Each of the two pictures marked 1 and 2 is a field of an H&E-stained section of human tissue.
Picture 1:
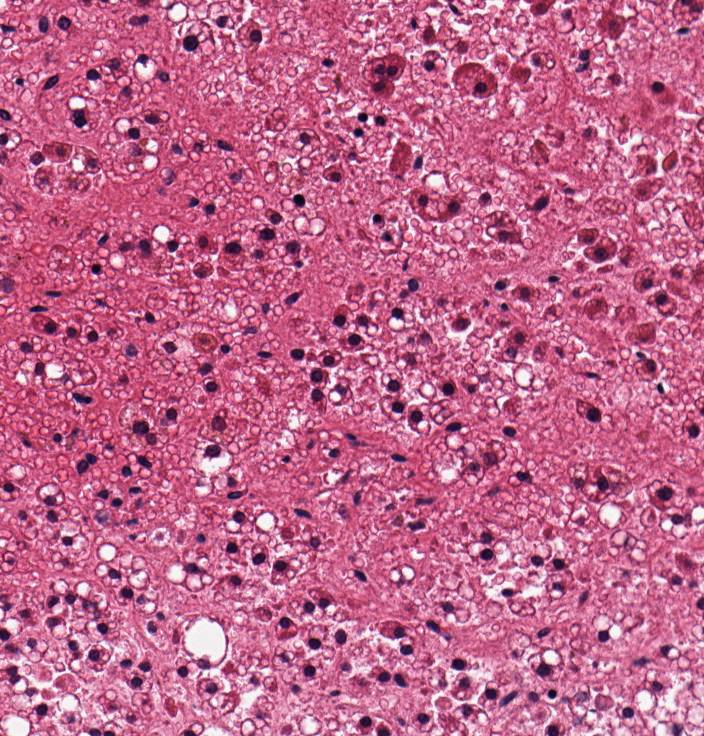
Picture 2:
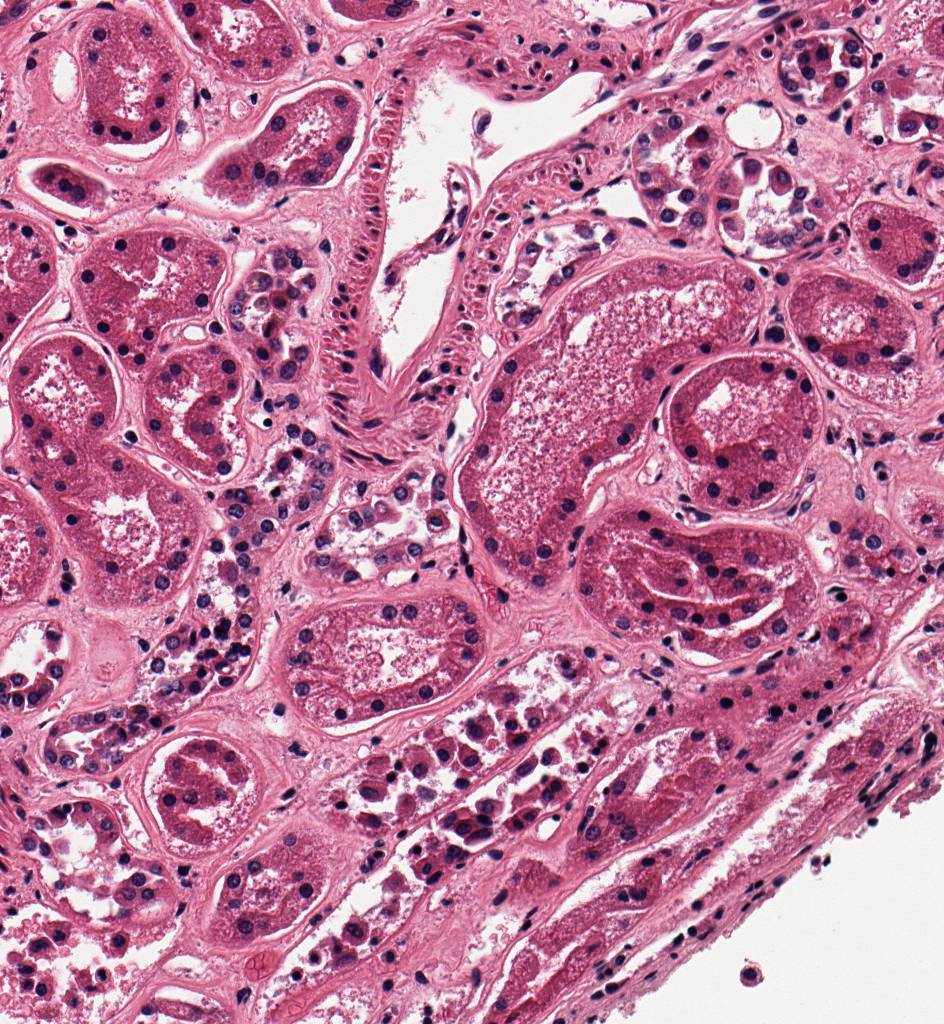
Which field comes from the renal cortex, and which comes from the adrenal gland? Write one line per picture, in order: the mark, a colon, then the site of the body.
1: adrenal gland
2: renal cortex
